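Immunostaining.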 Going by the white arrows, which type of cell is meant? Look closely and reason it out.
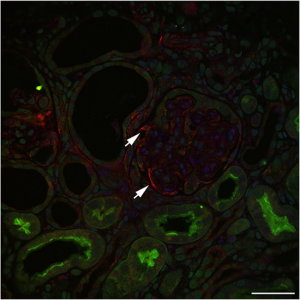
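The arrows point to thin red lines hugging the outer edge of a glomerulus. The marked lines are flat and curve around the tuft.
Answer: parietal cells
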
